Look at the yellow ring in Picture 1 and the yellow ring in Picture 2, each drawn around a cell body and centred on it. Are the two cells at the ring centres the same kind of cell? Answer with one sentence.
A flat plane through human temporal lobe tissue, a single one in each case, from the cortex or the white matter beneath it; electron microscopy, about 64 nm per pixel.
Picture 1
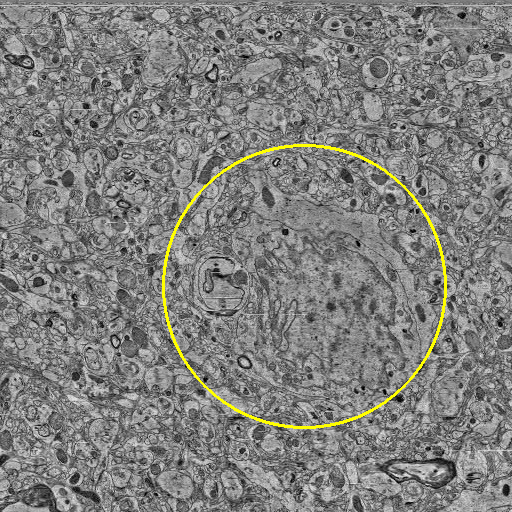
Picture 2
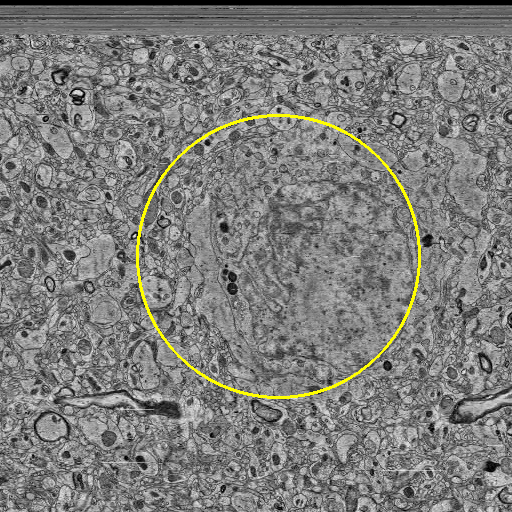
Yes, both are the same kind of cell.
